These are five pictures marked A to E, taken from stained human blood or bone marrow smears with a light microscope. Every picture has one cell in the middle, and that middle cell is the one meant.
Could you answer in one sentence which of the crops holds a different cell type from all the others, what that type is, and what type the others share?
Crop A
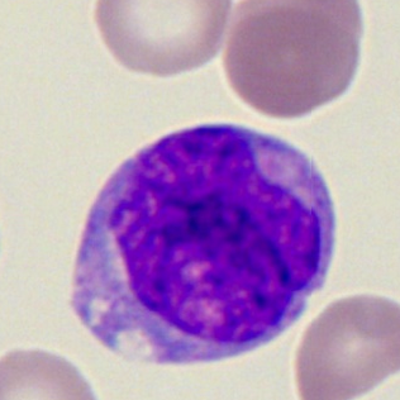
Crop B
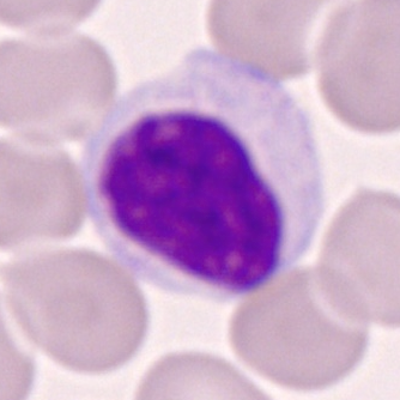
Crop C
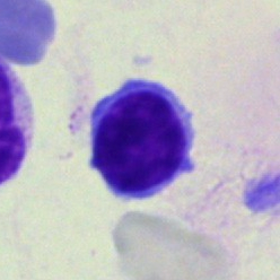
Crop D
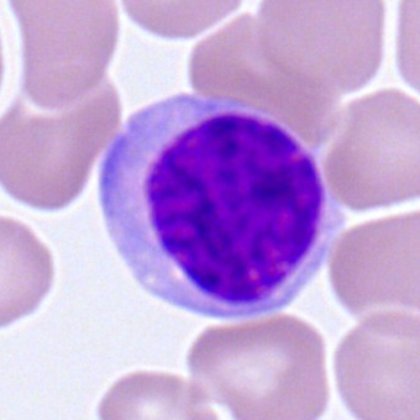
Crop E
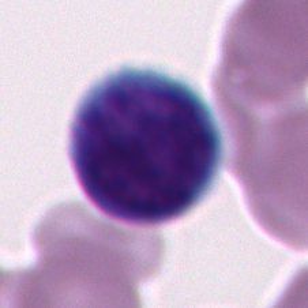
Crop A alone is a monocyte, and the other crops are all lymphocytes.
